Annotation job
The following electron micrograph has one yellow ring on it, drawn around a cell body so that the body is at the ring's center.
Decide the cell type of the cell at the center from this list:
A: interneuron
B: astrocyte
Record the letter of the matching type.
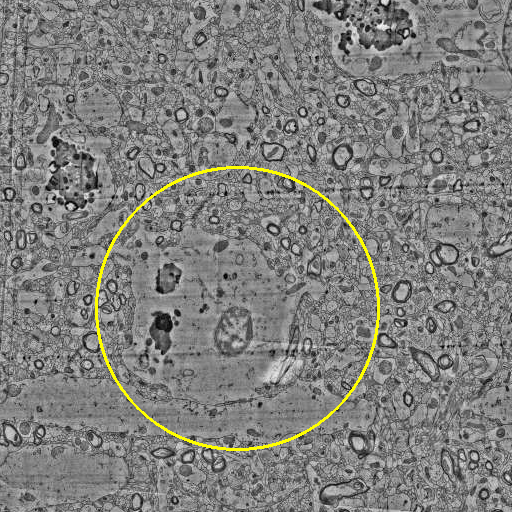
B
